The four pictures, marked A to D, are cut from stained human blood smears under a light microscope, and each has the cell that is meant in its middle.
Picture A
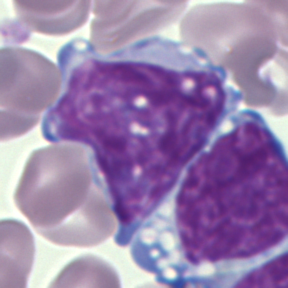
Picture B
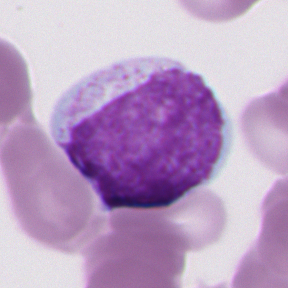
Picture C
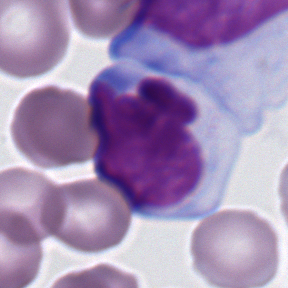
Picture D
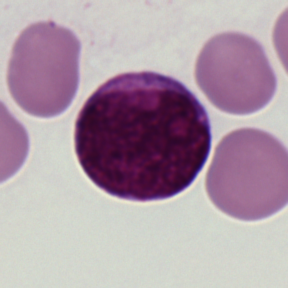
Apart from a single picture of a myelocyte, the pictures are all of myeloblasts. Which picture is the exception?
B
